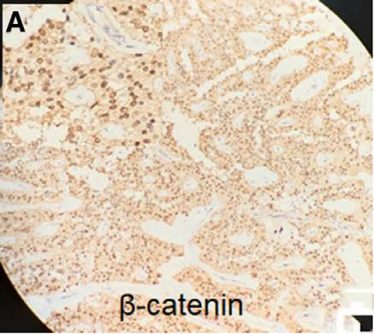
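Tumor cells growing in solid sheets and cords that outline numerous slit-like, branching and gland-like spaces with thin pale stroma between them. The cells are small, crowded and fairly uniform, with round nuclei. Brown stain fills the cytoplasm of most cells, and in the higher-power inset at the upper left many round nuclei are themselves stained darker brown, standing out against paler cytoplasm. The stromal septa and the spaces remain largely unstained and pale, giving a pattern of brown cellular bands separated by clear channels.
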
